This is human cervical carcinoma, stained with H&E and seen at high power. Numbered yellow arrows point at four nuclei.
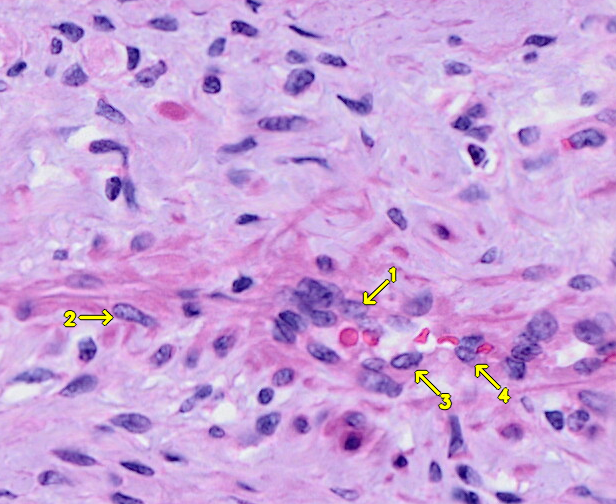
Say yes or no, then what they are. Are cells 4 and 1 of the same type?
Yes, among the marked cells, numbers 4 and 1 are both endothelial cells.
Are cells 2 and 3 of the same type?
No, cell 3 is an endothelial cell, while cell 2 is a smooth muscle cell.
